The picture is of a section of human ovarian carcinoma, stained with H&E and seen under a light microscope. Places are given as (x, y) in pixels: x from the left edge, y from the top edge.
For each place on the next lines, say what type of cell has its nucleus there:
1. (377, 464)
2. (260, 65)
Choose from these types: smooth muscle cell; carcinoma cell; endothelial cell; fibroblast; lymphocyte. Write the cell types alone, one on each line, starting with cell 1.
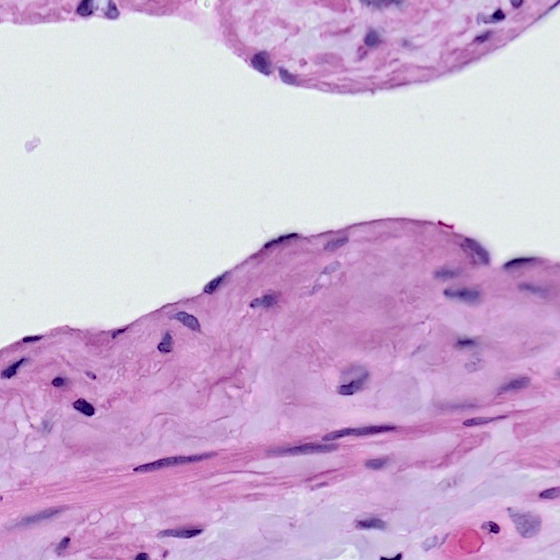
smooth muscle cell
endothelial cell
